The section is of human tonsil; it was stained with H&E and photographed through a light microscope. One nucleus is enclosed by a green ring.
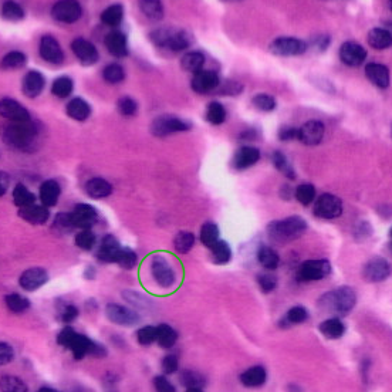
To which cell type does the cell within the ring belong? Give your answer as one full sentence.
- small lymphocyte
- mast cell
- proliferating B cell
For cell typing purposes, the cell within the ring is a mast cell.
